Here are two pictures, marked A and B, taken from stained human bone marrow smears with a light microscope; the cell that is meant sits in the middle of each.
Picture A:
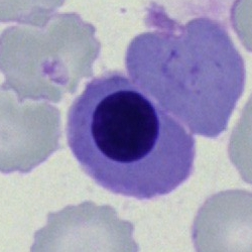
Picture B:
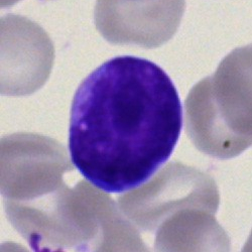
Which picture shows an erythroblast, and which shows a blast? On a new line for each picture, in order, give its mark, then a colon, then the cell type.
A: erythroblast
B: blast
